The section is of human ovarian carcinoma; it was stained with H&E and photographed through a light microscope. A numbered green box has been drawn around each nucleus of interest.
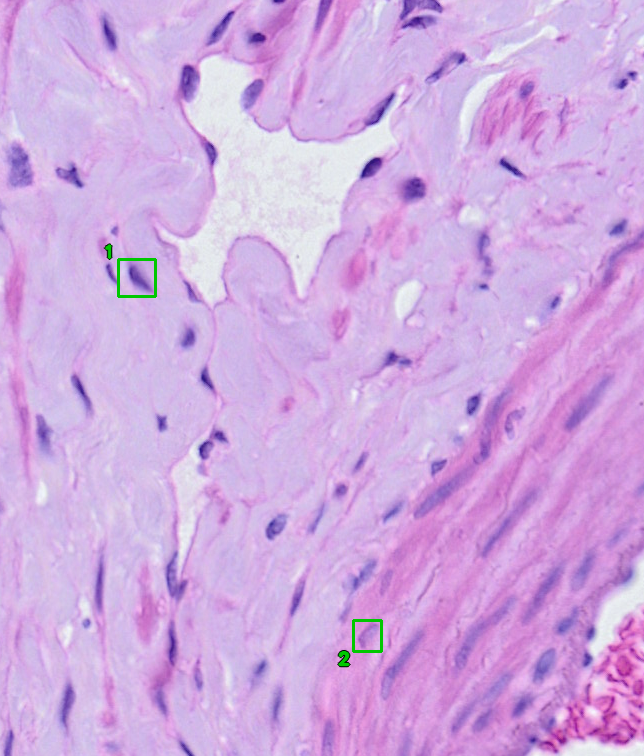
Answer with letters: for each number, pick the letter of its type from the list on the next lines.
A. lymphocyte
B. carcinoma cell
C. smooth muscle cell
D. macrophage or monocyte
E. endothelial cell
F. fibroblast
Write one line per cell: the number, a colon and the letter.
1: F
2: C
